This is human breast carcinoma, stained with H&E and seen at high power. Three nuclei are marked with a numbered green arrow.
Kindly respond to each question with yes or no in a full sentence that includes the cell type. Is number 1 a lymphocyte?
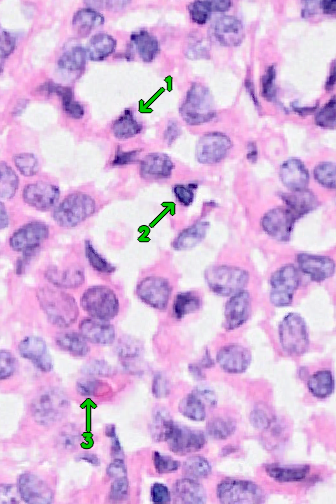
No. Cell number 1 is a carcinoma cell, not a lymphocyte.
